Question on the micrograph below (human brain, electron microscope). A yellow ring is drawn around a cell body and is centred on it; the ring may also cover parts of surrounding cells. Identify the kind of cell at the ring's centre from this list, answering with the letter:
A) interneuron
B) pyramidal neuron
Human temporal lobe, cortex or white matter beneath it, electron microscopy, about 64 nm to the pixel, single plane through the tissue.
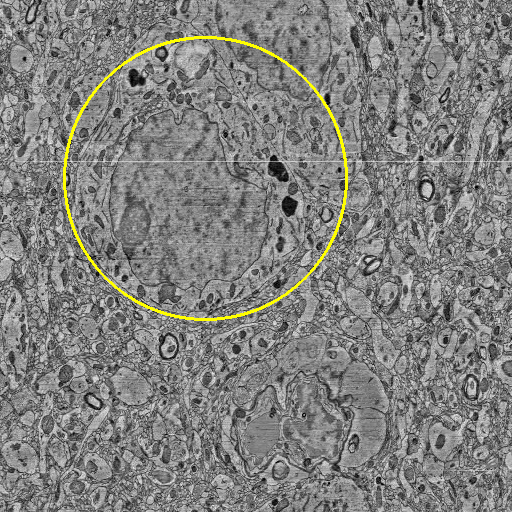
A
